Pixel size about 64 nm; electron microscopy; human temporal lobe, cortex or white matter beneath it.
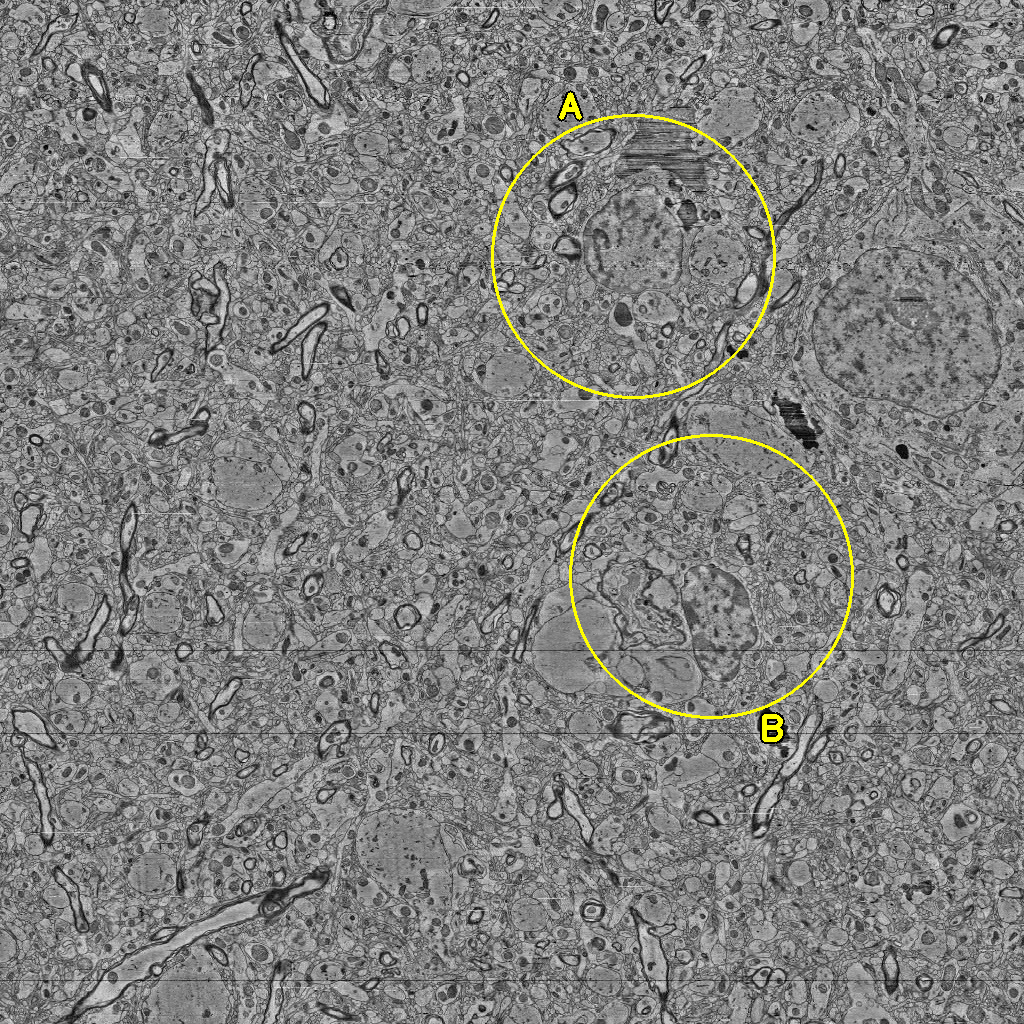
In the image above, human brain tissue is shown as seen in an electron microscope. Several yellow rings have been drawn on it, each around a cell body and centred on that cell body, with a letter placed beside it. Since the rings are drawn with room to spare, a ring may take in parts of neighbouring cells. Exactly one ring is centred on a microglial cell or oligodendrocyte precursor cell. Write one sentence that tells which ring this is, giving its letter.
The ring marked B is centred on it.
